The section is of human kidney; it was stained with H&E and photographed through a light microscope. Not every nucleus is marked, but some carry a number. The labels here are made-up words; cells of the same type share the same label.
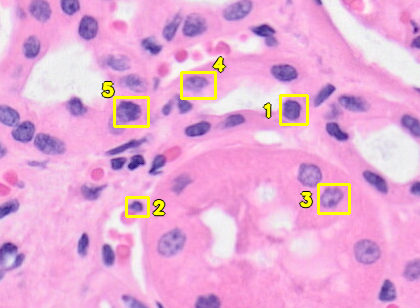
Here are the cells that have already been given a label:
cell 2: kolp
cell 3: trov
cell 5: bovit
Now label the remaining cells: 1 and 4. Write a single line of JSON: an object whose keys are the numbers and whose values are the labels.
{"1": "bovit", "4": "bovit"}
